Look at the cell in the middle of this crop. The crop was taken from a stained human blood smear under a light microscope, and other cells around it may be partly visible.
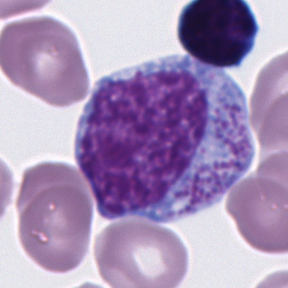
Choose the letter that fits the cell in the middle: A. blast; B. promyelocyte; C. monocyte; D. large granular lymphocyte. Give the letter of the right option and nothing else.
B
